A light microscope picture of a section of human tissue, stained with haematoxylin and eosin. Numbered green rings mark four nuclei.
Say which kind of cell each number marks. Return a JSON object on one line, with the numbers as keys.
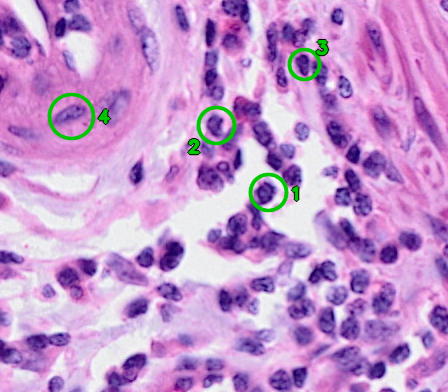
{"1": "lymphocyte", "2": "lymphocyte", "3": "lymphocyte", "4": "smooth muscle cell"}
